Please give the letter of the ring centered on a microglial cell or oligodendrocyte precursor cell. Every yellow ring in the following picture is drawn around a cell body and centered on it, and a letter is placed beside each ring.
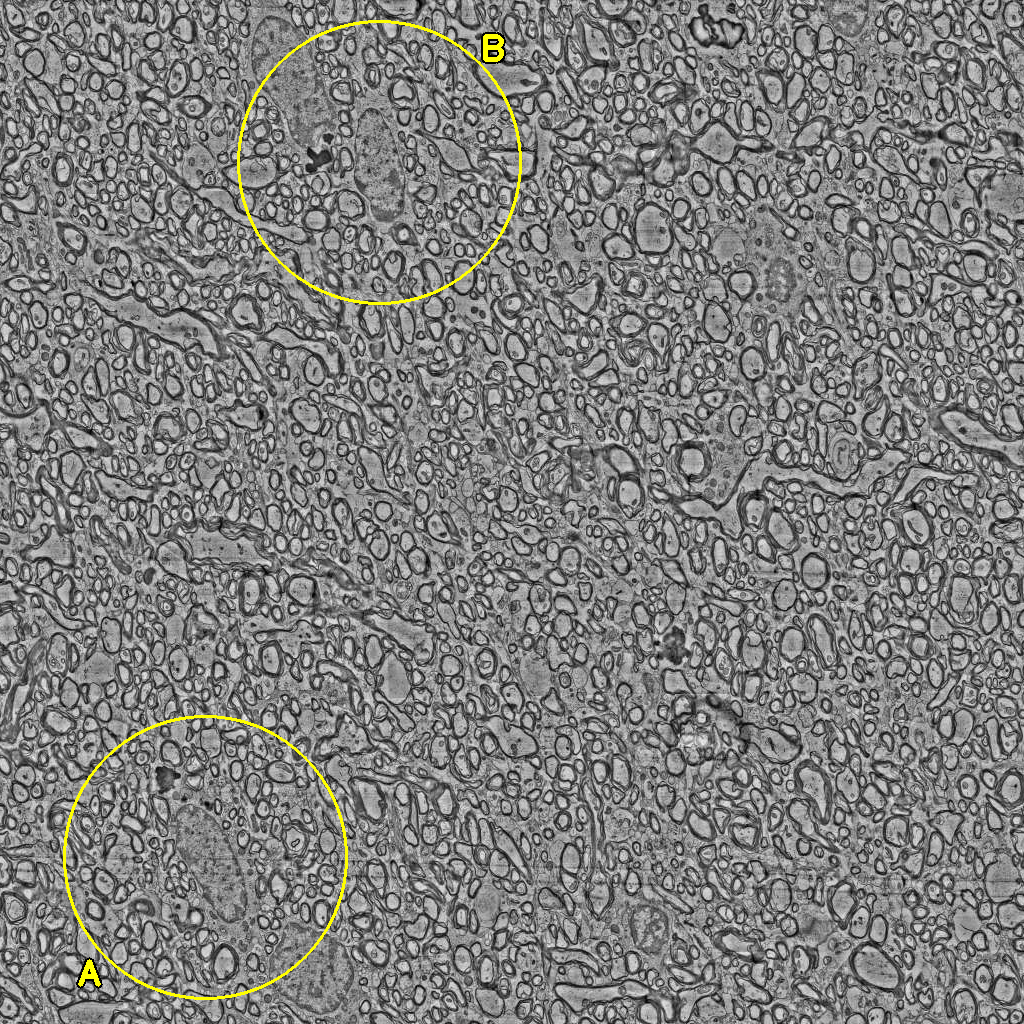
B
